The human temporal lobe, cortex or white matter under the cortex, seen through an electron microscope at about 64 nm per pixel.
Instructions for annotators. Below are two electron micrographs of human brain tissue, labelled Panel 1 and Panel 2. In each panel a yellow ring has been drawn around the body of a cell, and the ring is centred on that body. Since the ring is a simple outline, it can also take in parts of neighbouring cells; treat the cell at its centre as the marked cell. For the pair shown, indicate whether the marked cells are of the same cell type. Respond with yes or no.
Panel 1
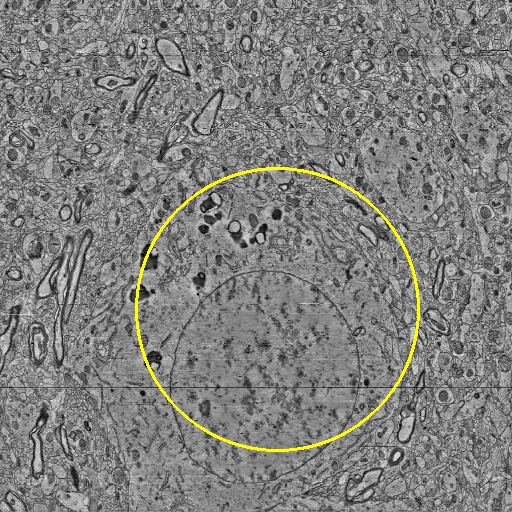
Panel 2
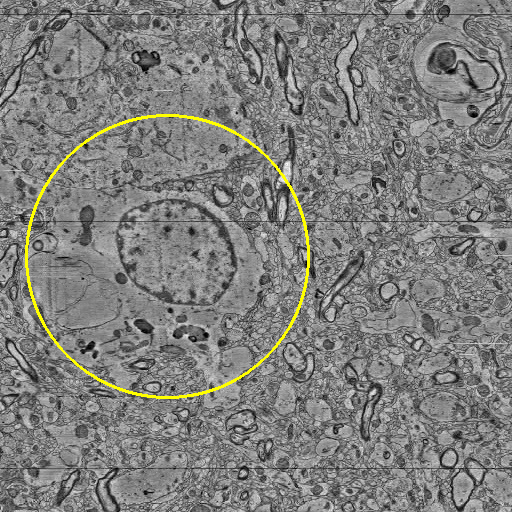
no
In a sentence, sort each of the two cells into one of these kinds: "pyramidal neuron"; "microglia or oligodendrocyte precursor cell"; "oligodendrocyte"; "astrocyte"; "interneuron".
The first of the two cells is a pyramidal neuron, and the second is an astrocyte.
